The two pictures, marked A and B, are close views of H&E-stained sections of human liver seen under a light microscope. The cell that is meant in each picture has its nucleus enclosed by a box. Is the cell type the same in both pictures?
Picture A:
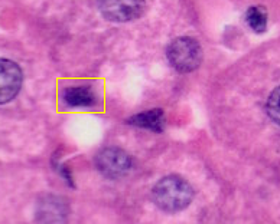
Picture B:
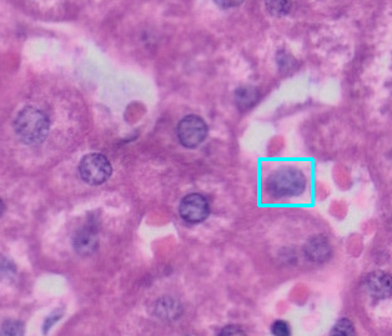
no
